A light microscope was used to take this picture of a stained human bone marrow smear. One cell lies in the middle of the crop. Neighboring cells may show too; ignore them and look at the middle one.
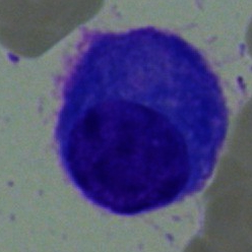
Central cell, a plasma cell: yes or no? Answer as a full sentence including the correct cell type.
Yes, the cell here in the middle is a plasma cell.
